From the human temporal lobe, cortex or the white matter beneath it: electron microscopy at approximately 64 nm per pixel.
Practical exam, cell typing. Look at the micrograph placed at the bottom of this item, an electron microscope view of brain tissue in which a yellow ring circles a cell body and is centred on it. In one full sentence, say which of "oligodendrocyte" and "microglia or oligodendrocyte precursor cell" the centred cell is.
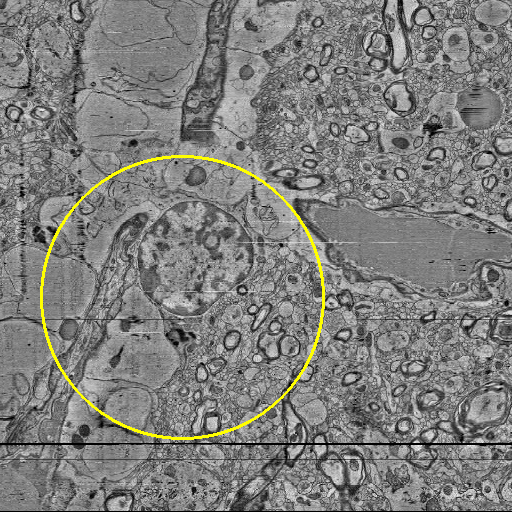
Given the options, a microglial cell or oligodendrocyte precursor cell fits the cell whose body the yellow ring is centred on.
